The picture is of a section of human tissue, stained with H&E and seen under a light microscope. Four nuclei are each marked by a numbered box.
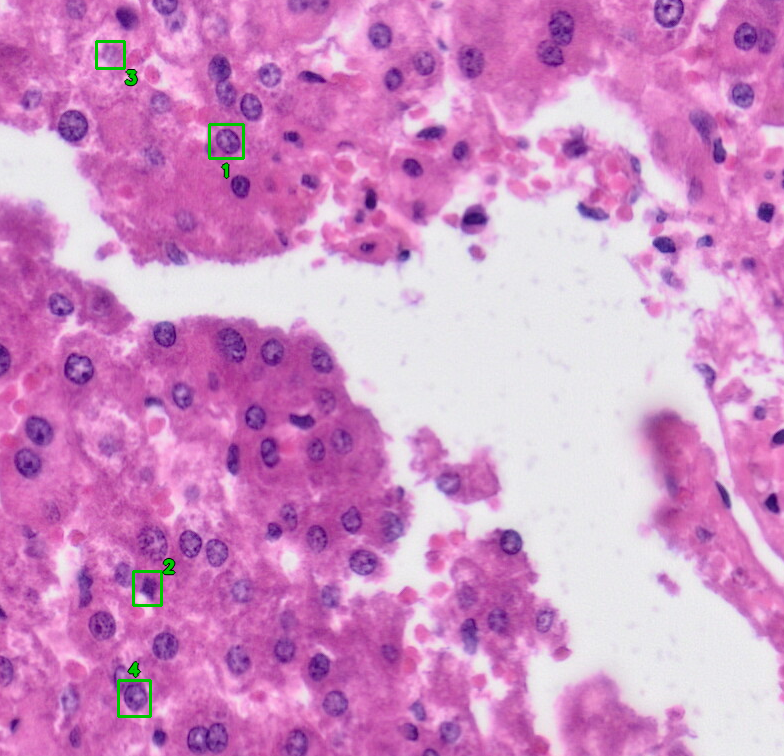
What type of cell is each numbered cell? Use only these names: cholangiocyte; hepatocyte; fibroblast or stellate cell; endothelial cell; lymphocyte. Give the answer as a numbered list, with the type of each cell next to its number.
1. hepatocyte
2. endothelial cell
3. hepatocyte
4. hepatocyte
